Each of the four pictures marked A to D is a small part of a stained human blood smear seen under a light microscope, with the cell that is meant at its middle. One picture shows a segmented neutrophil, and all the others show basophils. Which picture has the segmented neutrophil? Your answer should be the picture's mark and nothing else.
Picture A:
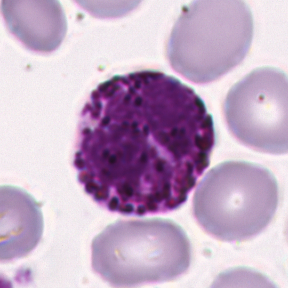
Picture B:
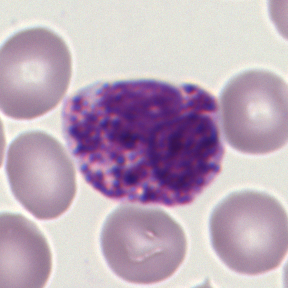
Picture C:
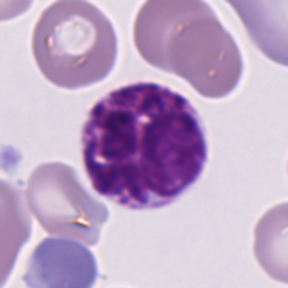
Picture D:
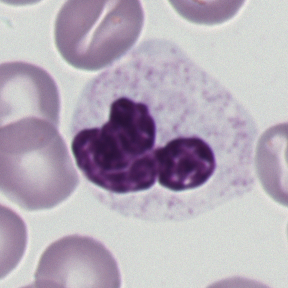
D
